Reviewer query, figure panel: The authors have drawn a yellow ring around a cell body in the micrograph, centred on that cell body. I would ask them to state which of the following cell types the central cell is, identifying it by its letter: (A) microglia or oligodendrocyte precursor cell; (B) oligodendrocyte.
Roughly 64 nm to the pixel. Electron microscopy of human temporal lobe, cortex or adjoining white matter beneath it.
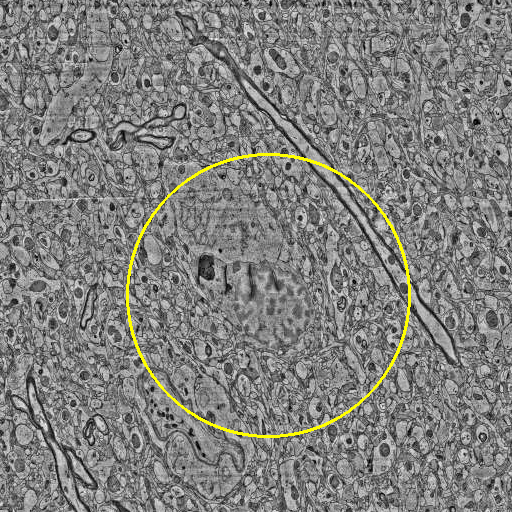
B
